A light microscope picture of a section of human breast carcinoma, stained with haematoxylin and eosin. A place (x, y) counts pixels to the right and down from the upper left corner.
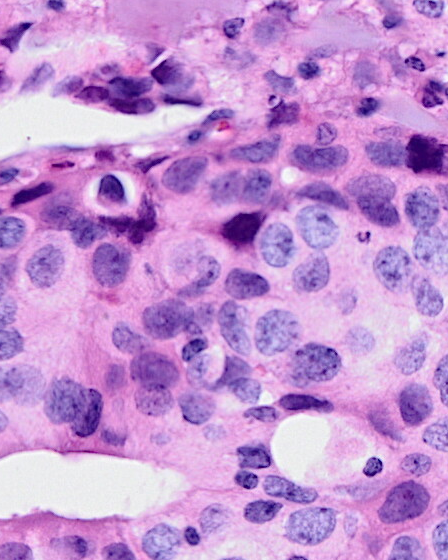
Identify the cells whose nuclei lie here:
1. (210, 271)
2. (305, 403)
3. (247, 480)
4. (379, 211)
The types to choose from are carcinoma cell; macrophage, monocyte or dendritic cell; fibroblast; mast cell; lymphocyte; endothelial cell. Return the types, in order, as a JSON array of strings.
["carcinoma cell", "carcinoma cell", "lymphocyte", "carcinoma cell"]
